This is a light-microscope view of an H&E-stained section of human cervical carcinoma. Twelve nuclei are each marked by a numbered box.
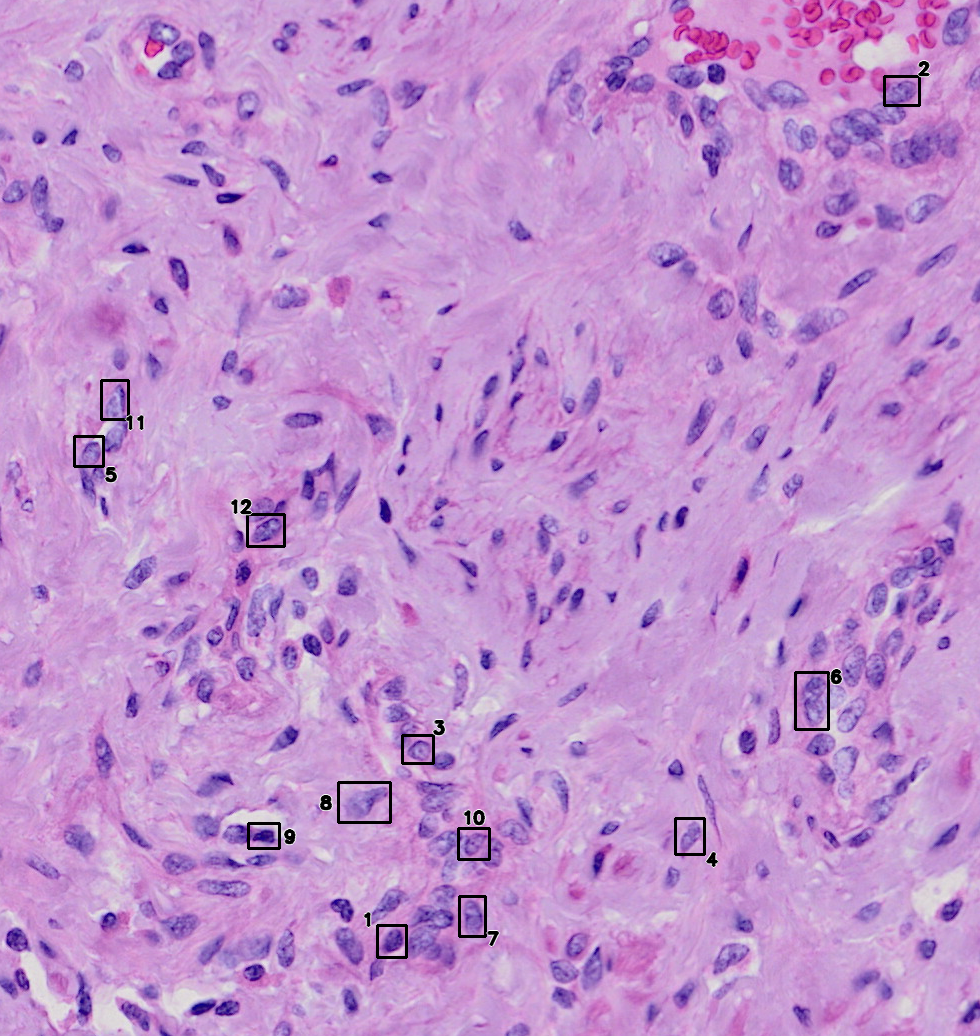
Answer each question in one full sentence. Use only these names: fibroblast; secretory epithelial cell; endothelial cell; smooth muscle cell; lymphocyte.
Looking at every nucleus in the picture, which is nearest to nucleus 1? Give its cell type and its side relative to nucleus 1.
It is an endothelial cell, whose nucleus lies to the right of nucleus 1.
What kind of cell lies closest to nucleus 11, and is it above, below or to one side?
The nearest one is an endothelial cell, found below nucleus 11.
